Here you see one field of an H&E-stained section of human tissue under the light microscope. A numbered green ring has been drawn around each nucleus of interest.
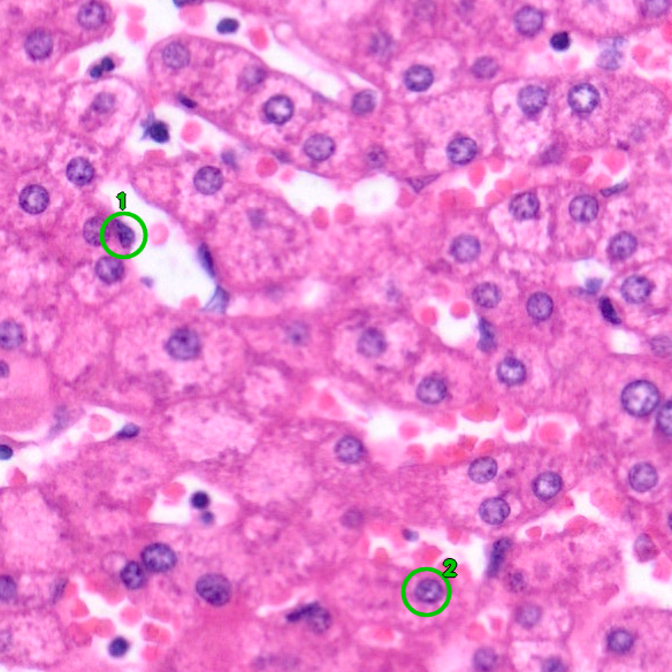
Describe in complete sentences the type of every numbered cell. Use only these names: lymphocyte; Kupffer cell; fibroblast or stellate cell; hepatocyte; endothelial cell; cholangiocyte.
Cell 1 is a Kupffer cell and cell 2 is a hepatocyte.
